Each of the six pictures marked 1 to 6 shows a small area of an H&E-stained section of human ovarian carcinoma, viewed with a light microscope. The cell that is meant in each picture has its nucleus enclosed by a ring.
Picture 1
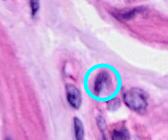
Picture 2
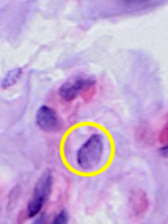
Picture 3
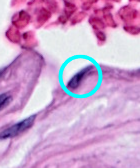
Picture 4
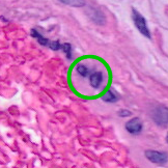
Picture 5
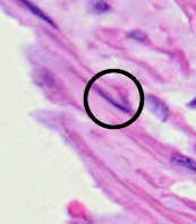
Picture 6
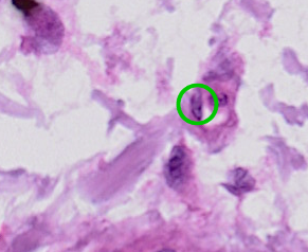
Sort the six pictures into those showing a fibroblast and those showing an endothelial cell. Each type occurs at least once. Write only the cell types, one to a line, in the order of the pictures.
endothelial cell
fibroblast
endothelial cell
endothelial cell
fibroblast
endothelial cell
